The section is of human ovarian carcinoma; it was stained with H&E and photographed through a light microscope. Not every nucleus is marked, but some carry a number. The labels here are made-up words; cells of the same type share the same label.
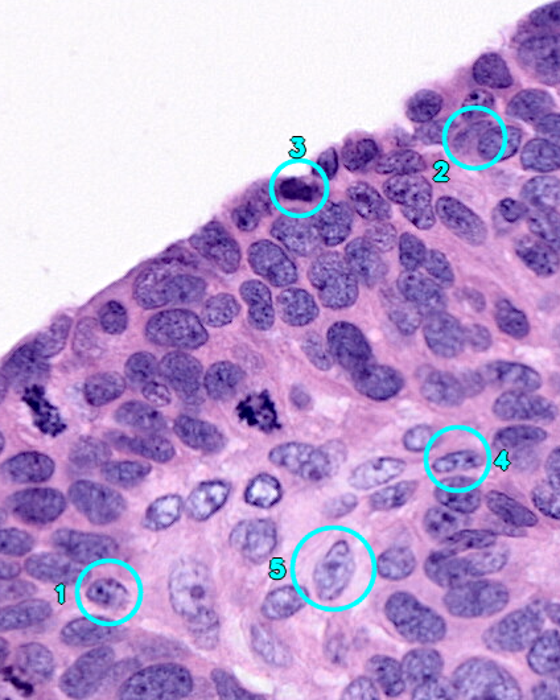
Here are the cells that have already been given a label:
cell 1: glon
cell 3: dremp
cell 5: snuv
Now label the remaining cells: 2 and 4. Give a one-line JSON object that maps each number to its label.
{"2": "dremp", "4": "snuv"}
